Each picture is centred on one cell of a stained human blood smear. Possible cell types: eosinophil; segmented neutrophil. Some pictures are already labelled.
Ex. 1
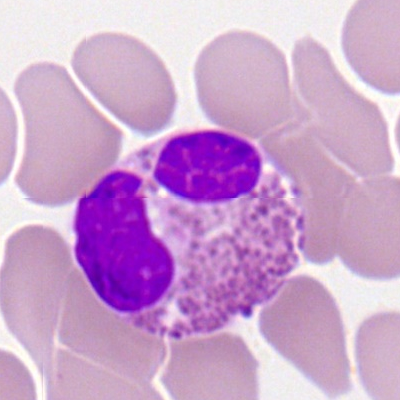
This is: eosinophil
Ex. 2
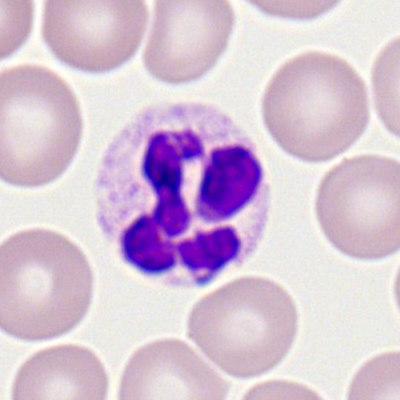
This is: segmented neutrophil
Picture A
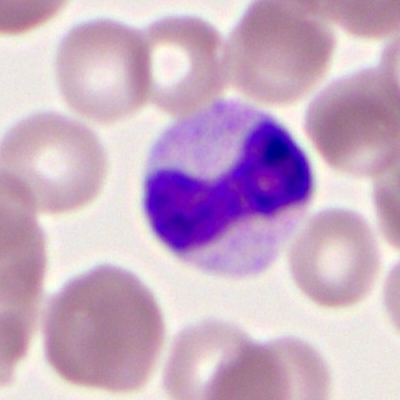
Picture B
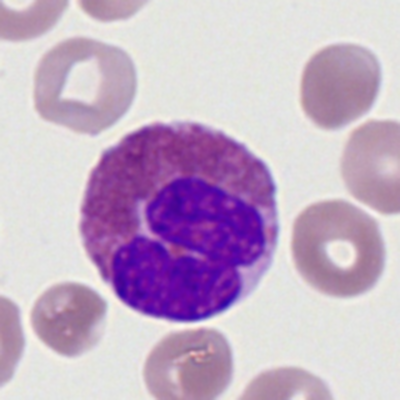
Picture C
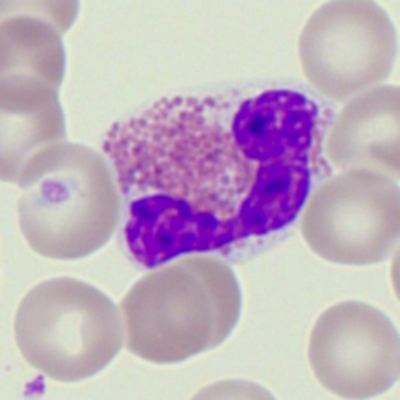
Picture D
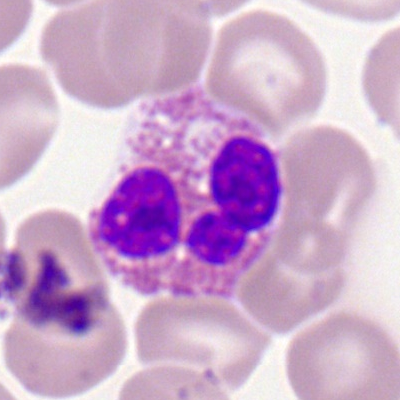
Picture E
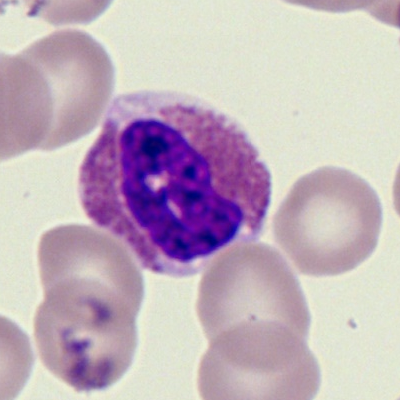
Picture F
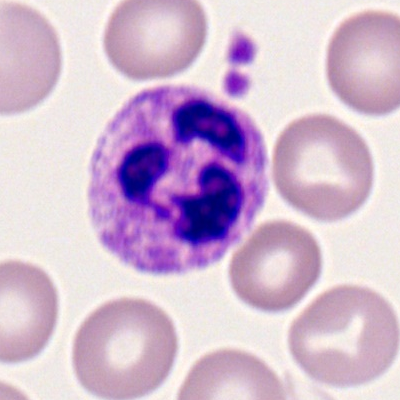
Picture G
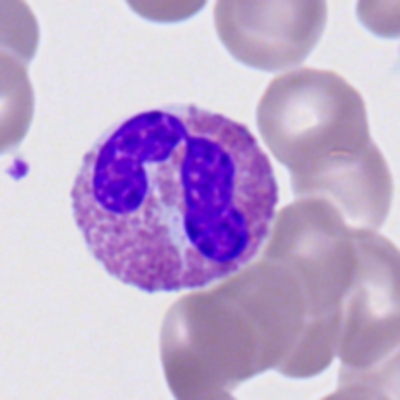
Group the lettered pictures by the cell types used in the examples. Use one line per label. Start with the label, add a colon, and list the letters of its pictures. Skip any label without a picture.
eosinophil: B, C, D, E, G
segmented neutrophil: A, F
